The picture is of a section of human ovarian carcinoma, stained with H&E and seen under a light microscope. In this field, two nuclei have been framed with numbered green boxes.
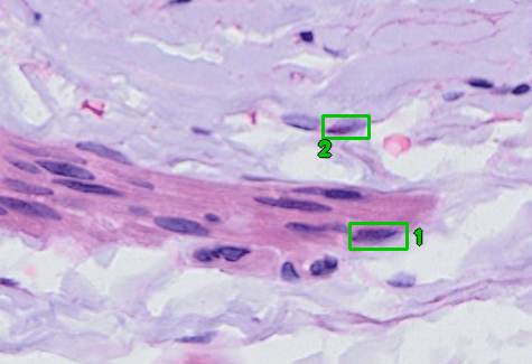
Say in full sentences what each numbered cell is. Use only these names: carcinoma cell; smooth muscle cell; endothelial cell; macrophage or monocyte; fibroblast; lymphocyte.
Cell 1 is a smooth muscle cell and cell 2 is a fibroblast.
